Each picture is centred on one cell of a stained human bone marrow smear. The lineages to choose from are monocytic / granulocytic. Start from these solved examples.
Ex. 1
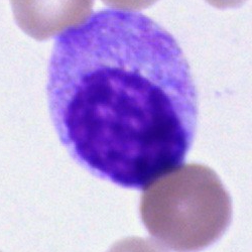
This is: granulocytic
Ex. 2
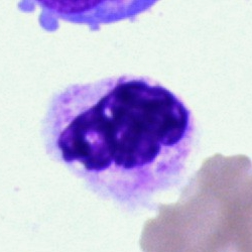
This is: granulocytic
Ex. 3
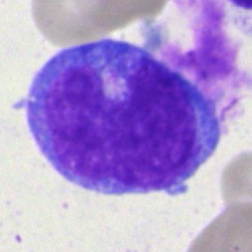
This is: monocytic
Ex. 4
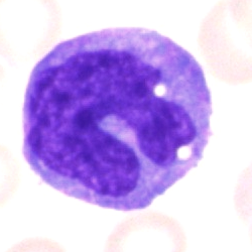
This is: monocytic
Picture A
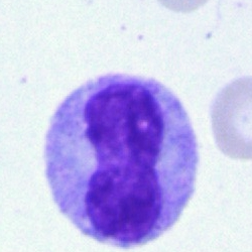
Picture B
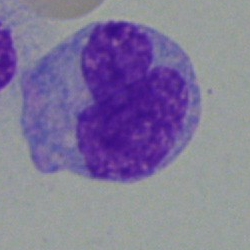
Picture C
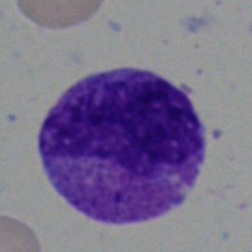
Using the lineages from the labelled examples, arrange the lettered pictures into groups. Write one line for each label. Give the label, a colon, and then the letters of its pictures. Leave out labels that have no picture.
monocytic: B
granulocytic: A, C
